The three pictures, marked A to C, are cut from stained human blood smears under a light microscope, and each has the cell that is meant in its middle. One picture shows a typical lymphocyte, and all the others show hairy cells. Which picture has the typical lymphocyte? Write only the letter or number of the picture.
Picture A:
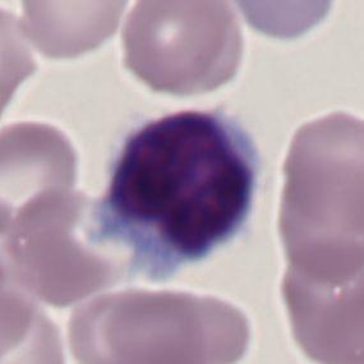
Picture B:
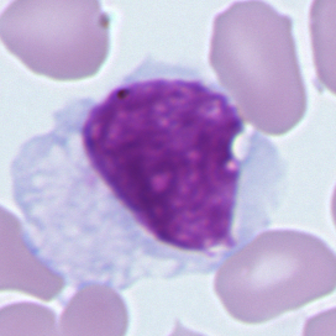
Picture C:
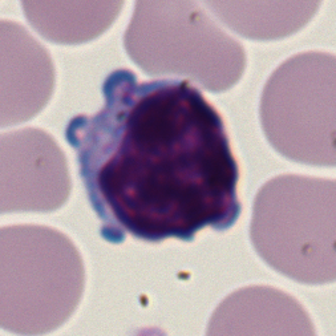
C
